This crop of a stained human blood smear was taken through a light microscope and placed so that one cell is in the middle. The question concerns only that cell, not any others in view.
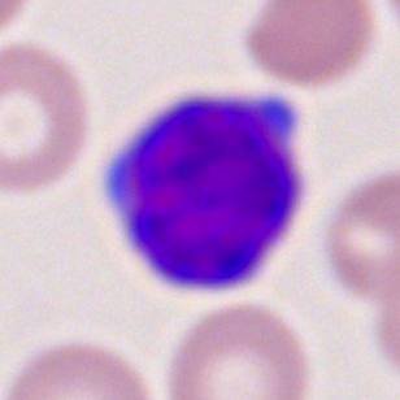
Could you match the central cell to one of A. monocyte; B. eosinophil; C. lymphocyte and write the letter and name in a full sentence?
The central cell of the crop is a lymphocyte, which makes C the correct option.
